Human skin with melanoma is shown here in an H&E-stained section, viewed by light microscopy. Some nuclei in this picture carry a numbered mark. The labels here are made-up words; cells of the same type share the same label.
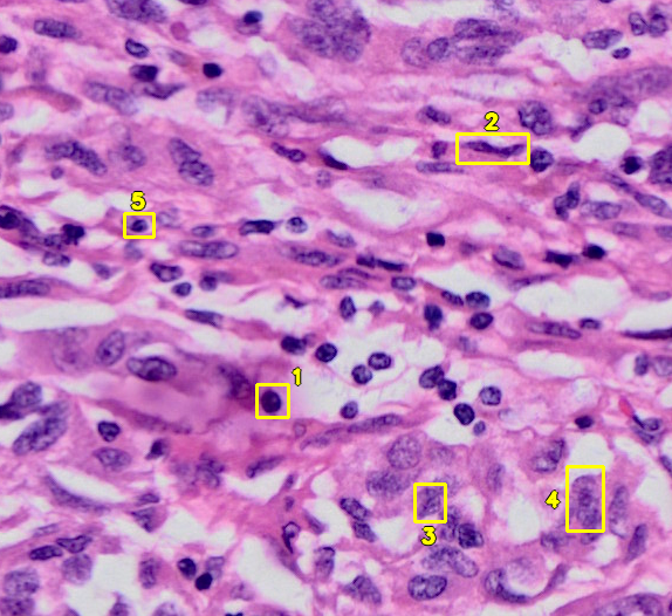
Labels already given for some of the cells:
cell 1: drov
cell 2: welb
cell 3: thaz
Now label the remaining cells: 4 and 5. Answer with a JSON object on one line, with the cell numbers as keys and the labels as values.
{"4": "thaz", "5": "drov"}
